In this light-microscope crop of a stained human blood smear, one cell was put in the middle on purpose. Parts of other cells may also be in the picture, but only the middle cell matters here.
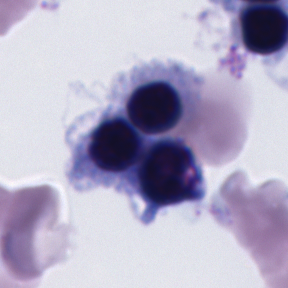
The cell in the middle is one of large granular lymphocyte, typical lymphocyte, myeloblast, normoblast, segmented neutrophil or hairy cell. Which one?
normoblast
